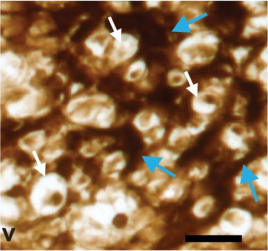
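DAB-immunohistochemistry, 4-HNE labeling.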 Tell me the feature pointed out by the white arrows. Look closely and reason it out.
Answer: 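Round pale profiles with a thin ring around a central core. The profiles are packed side by side, cut in cross-section. On this evidence: myelinated axons.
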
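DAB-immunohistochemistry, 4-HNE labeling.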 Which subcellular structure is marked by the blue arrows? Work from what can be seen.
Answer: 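Glial processes. Dark brown strands fill the spaces between the round pale profiles. The dark material wraps around the pale profiles.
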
